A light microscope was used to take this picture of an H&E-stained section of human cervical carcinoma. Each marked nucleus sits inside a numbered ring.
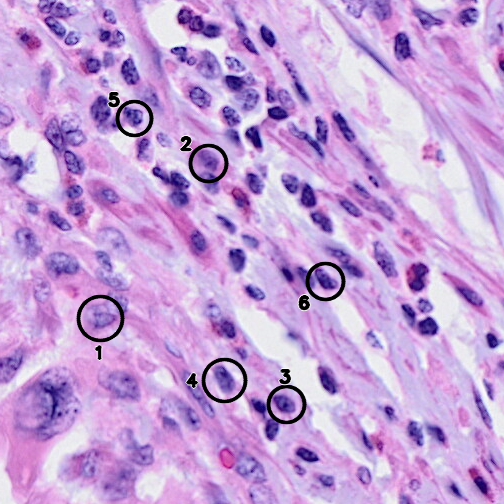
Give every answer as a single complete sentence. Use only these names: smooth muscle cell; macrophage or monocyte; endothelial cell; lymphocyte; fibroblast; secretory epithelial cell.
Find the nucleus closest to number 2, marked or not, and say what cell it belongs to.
Number 2 lies closest to the nucleus of a lymphocyte.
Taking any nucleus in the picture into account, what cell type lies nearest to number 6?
It is a lymphocyte whose nucleus is nearest to number 6.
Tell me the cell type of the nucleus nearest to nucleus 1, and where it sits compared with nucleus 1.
The nearest nucleus is that of an endothelial cell and lies above and to the right of nucleus 1.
